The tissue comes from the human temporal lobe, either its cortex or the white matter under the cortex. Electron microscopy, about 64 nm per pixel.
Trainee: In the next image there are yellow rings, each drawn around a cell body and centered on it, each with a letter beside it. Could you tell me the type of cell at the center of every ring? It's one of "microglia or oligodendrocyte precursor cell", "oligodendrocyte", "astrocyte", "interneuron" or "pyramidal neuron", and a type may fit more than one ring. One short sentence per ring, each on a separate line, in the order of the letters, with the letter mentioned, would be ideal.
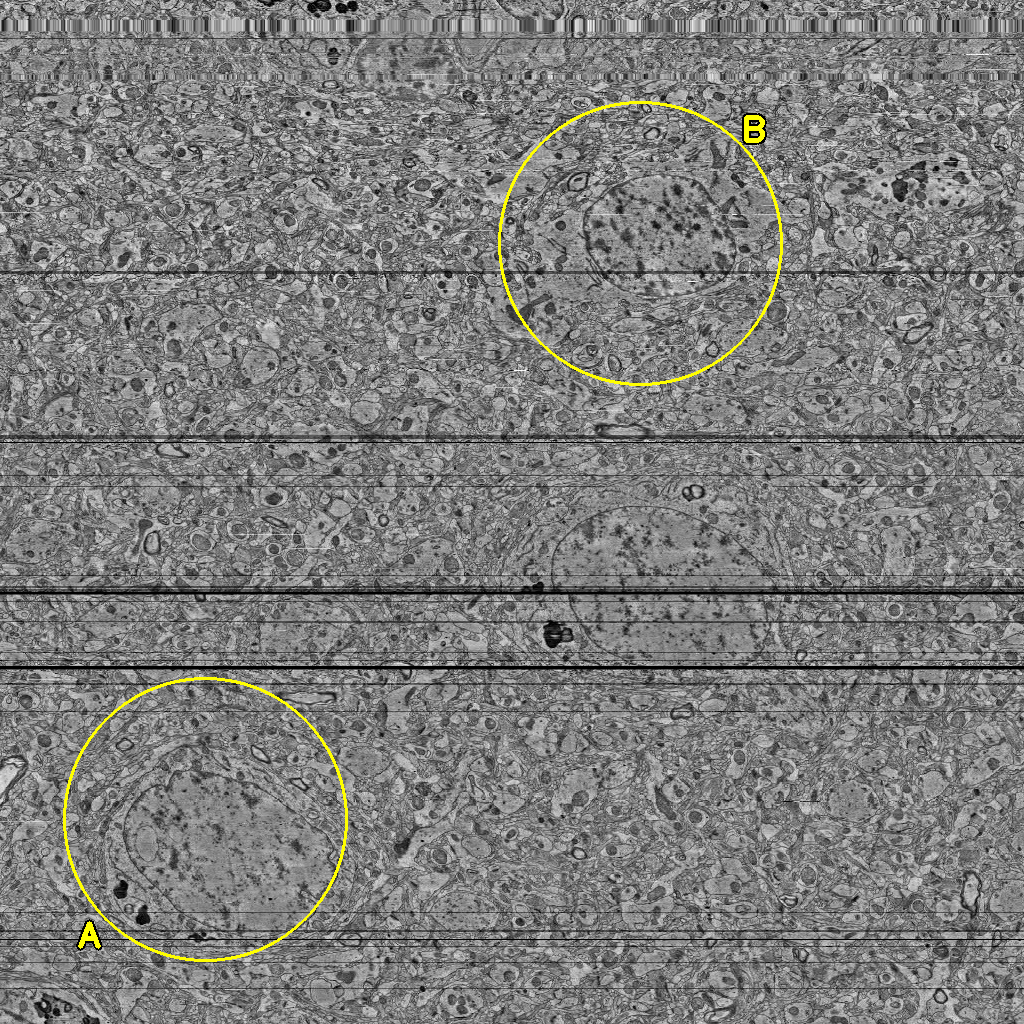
What ring A is centered on is a pyramidal neuron.
What ring B is centered on is an astrocyte.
